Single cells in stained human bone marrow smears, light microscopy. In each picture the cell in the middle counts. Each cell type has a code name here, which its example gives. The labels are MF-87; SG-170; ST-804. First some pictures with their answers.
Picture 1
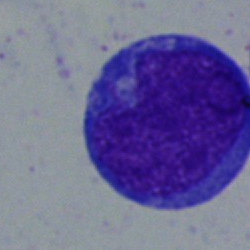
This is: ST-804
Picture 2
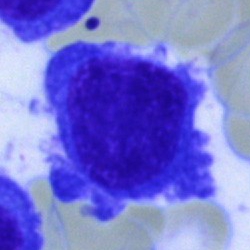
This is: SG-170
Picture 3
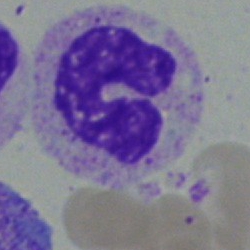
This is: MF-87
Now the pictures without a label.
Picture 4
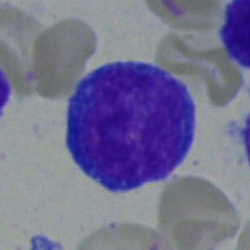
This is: ST-804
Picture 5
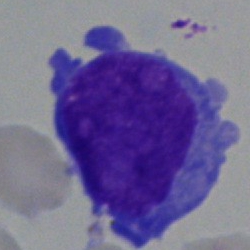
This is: ST-804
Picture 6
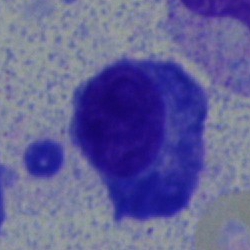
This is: SG-170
